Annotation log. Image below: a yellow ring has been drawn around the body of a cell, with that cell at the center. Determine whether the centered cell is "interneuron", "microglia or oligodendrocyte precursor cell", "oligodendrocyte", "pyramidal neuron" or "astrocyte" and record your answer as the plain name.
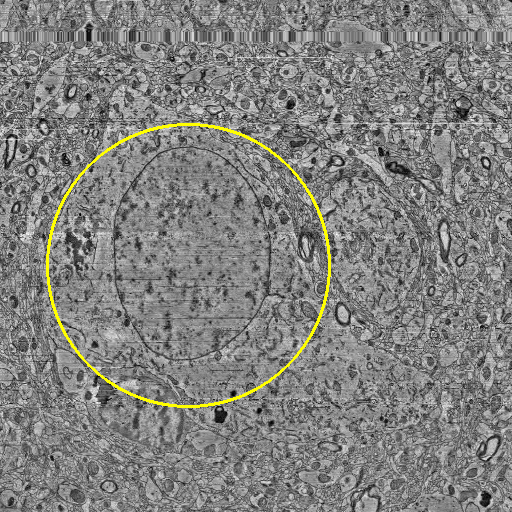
pyramidal neuron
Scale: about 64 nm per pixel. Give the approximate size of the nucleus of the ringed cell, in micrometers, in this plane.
The nucleus measures about 14 by 10 micrometres in this plane.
